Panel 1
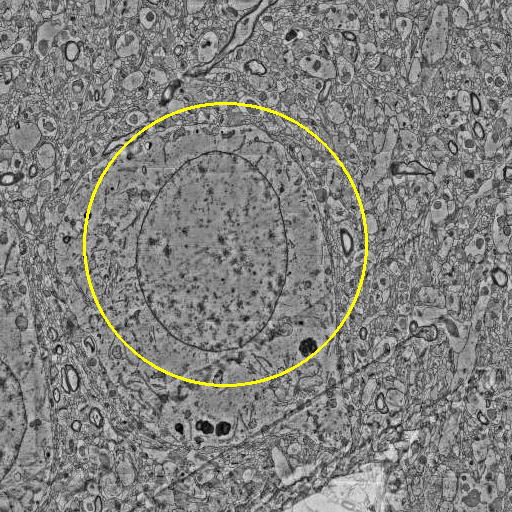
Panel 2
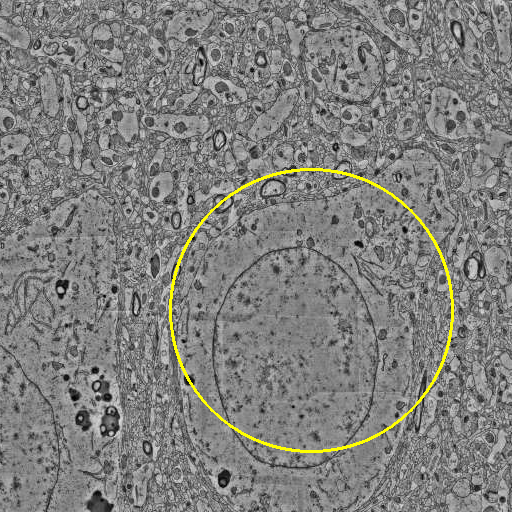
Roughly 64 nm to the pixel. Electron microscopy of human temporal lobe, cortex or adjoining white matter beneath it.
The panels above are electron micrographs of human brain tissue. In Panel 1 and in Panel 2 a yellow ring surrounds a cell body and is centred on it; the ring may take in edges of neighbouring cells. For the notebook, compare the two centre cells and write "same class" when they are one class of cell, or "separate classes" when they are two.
same class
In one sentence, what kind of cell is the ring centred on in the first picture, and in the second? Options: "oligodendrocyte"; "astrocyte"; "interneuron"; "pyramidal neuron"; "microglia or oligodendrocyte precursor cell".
The first and the second cell are each a pyramidal neuron.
